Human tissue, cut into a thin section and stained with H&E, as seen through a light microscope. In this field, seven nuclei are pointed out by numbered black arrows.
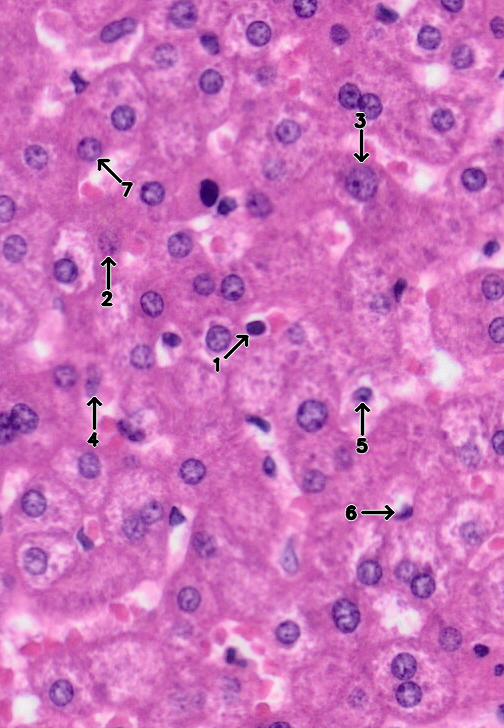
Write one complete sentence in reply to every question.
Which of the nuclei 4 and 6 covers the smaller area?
Nucleus 6 is the smaller one; nucleus 4 covers about 1.5 times its area.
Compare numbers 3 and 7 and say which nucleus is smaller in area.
Nucleus 7 covers less area, with nucleus 3 about 2 times as large.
